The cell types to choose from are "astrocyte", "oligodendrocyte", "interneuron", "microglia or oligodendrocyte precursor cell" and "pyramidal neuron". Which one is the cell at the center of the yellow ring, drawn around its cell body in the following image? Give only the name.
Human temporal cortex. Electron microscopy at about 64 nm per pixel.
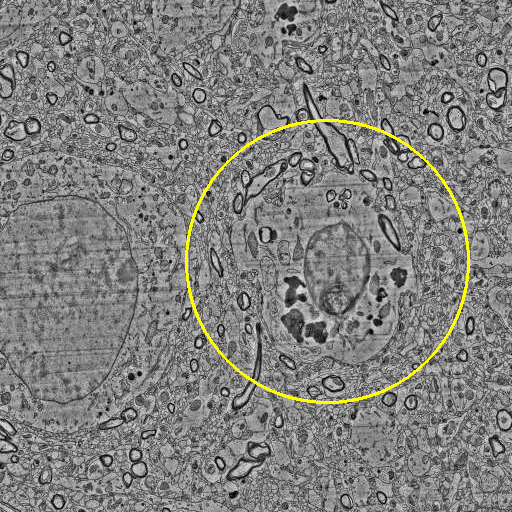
astrocyte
